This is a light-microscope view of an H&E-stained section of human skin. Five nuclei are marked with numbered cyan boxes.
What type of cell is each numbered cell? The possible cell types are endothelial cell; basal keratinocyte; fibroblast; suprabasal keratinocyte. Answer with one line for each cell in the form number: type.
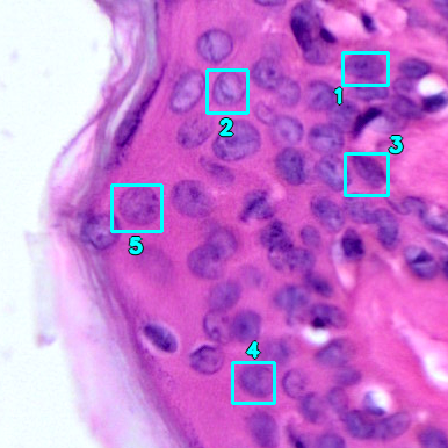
1: basal keratinocyte
2: suprabasal keratinocyte
3: basal keratinocyte
4: suprabasal keratinocyte
5: suprabasal keratinocyte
